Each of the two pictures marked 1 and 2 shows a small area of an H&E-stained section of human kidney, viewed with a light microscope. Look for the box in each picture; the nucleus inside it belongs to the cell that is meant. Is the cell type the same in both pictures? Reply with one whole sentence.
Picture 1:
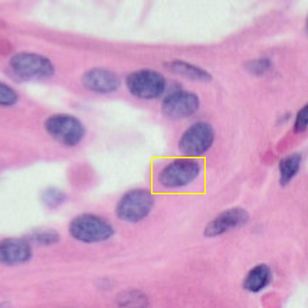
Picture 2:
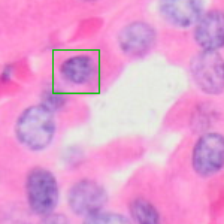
No; the cell in picture 1 is a “loop of Henle or distal tubule cell”, while the one in picture 2 is a collecting duct cell.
